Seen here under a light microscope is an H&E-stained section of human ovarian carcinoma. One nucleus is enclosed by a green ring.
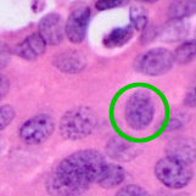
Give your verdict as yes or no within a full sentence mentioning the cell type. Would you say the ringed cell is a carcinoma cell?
Yes, the ringed cell is properly regarded as a carcinoma cell.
